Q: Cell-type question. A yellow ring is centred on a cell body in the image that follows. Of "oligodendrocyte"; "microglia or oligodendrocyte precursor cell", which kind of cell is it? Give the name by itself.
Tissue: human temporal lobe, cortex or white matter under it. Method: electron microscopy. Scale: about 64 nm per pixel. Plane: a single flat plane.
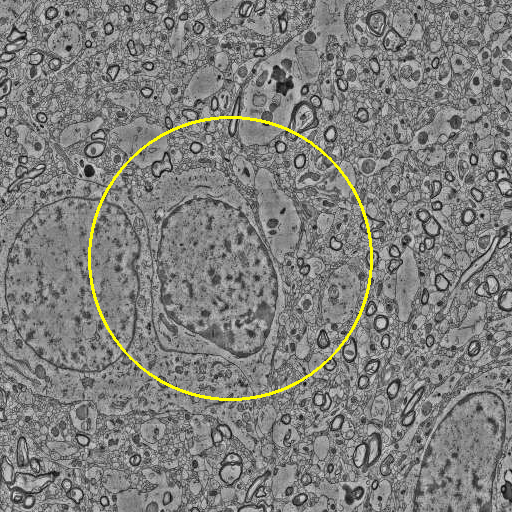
microglia or oligodendrocyte precursor cell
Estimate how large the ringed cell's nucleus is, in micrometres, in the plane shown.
The ringed cell's nucleus is about 11 micrometres long and 7 micrometres wide in this plane.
